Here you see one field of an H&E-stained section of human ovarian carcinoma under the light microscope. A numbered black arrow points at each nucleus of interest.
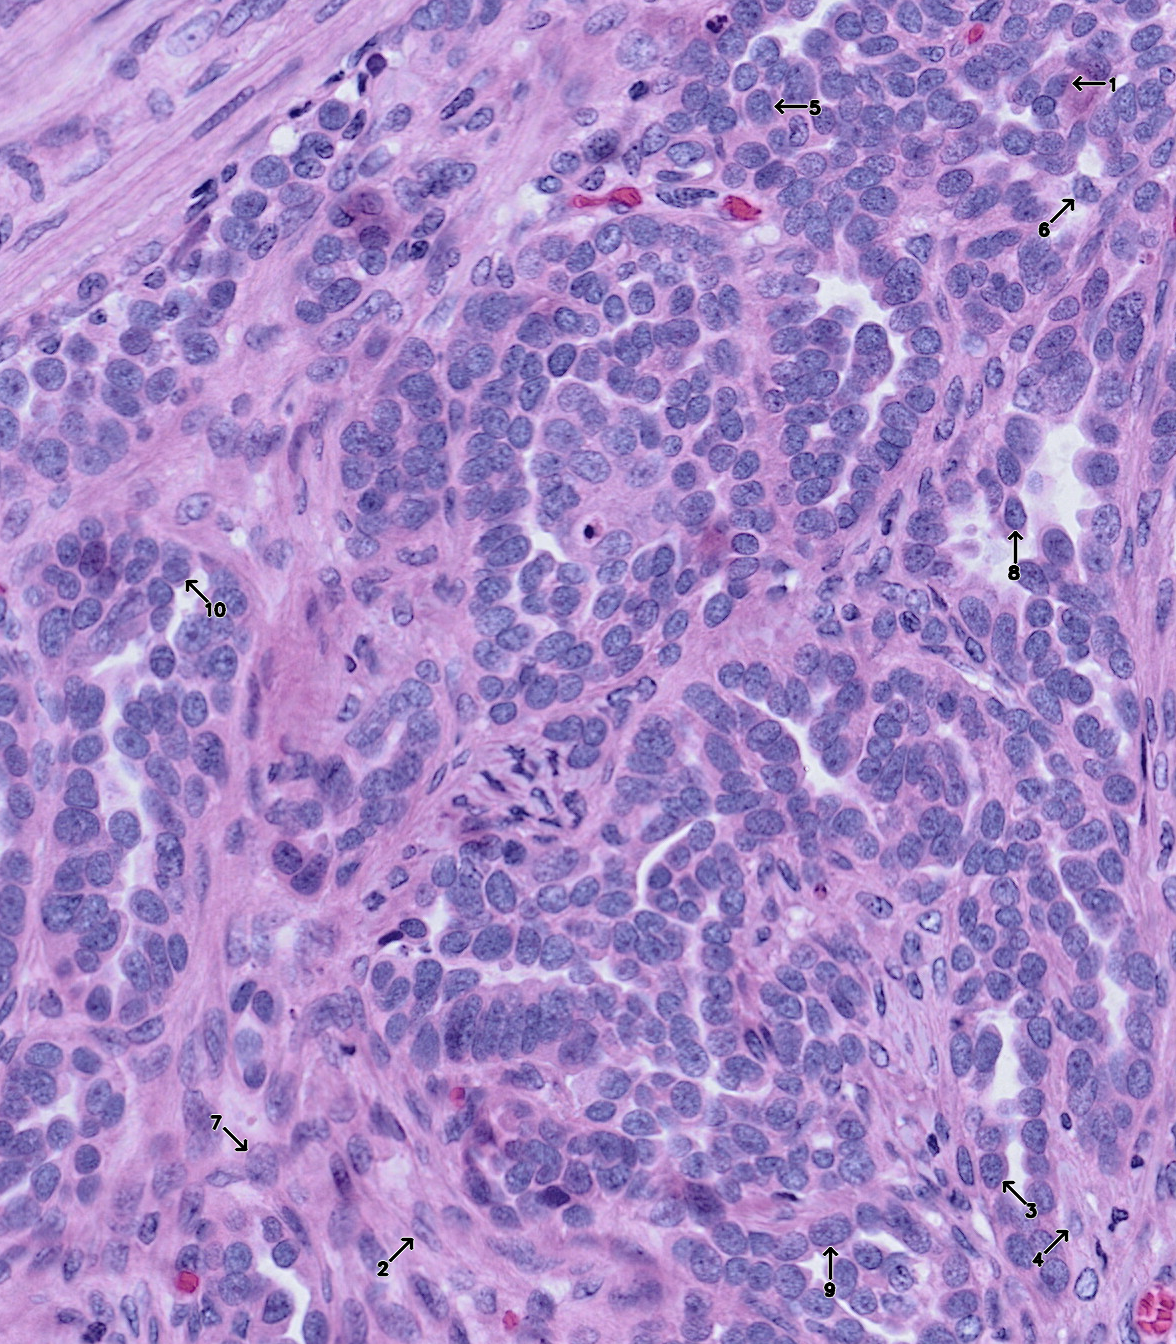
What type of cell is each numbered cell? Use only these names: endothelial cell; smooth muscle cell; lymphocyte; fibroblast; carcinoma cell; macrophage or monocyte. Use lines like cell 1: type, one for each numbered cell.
cell 1: carcinoma cell
cell 2: fibroblast
cell 3: carcinoma cell
cell 4: fibroblast
cell 5: carcinoma cell
cell 6: macrophage or monocyte
cell 7: fibroblast
cell 8: carcinoma cell
cell 9: carcinoma cell
cell 10: carcinoma cell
